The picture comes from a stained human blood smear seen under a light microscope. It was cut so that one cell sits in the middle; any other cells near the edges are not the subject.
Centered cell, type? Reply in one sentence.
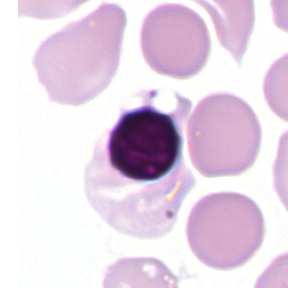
The middle of this crop is occupied by a normoblast.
